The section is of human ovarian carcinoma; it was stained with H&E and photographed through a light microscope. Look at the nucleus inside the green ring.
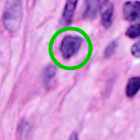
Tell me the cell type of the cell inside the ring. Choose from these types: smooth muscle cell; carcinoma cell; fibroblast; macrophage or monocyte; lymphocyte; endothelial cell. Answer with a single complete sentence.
The cell inside the ring is a lymphocyte.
